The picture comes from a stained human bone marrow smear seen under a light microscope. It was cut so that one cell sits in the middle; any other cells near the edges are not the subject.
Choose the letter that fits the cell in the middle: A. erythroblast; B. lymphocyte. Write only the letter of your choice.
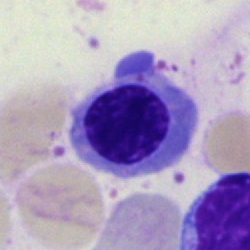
A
